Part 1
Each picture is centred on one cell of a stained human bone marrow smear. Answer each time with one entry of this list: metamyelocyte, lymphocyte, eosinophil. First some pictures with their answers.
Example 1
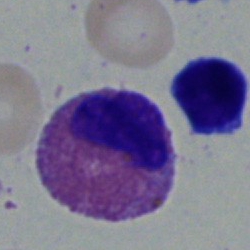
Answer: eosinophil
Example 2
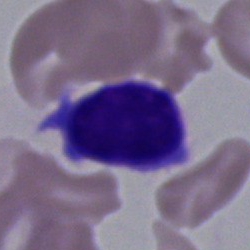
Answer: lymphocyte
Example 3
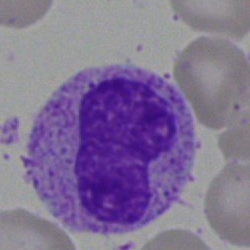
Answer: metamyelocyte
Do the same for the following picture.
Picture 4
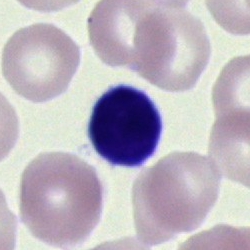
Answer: lymphocyte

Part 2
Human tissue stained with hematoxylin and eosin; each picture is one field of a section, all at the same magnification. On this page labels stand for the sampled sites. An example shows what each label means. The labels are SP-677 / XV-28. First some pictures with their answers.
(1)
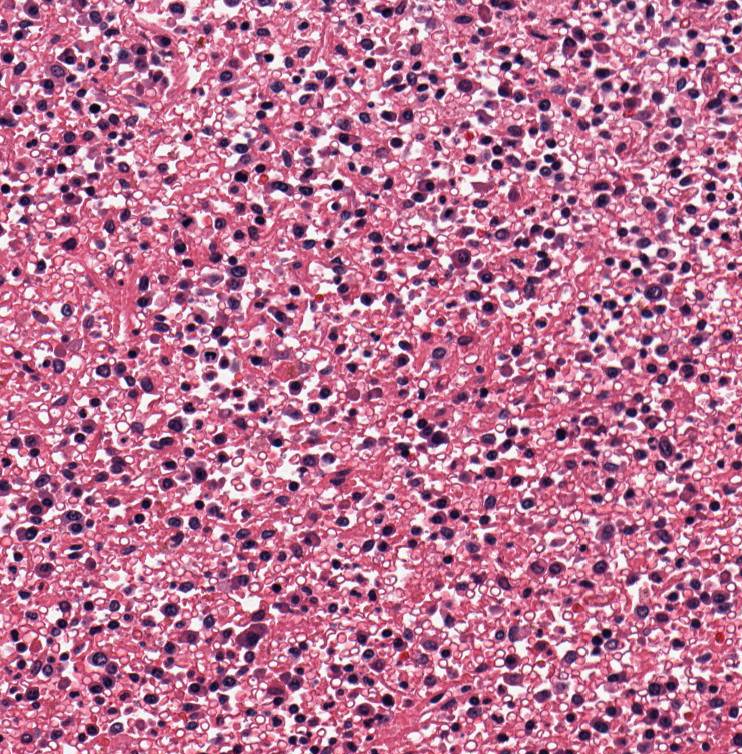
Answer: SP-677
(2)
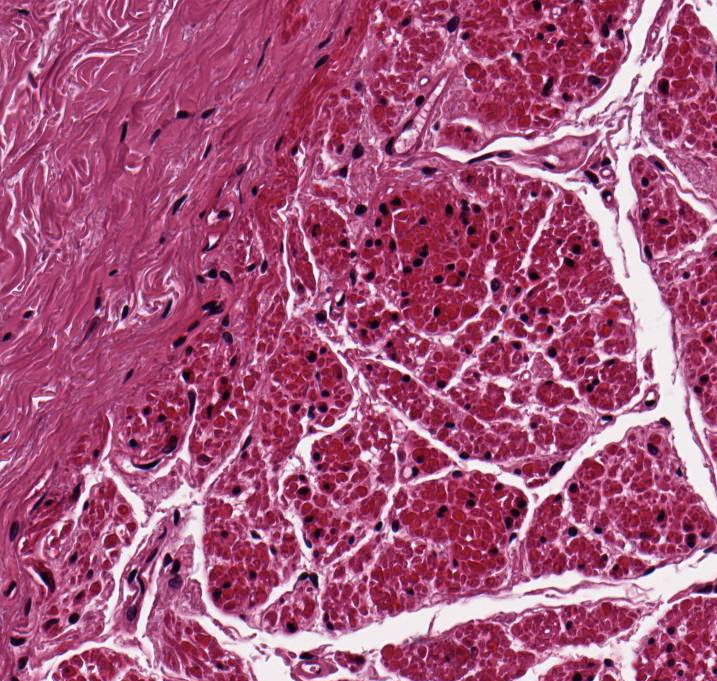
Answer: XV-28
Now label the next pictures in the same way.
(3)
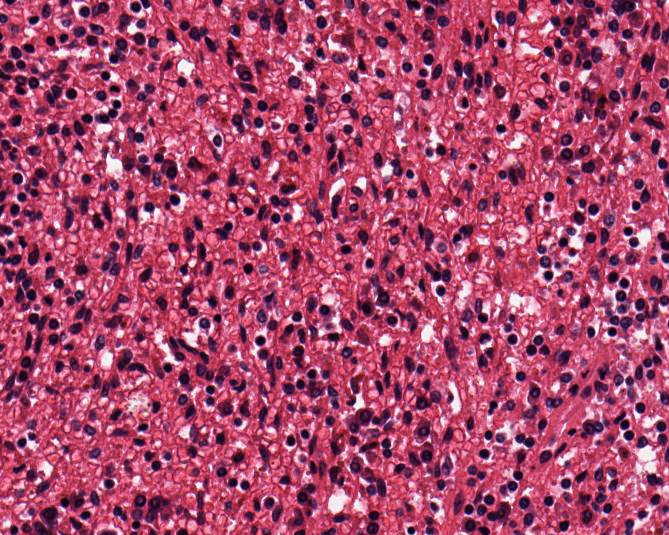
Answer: SP-677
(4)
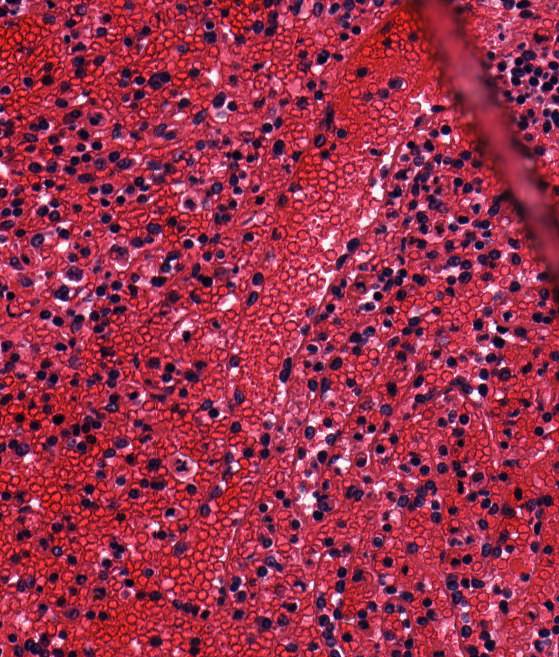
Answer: SP-677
